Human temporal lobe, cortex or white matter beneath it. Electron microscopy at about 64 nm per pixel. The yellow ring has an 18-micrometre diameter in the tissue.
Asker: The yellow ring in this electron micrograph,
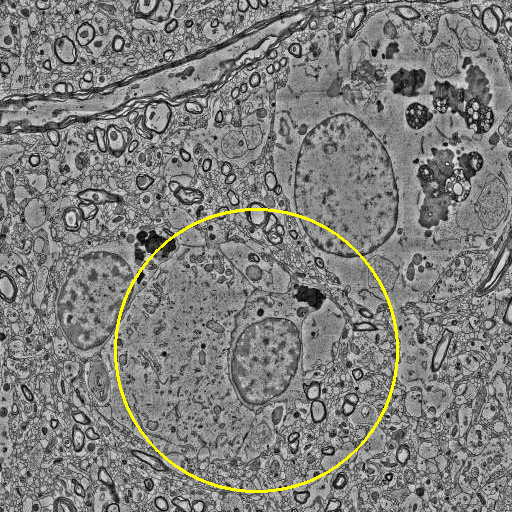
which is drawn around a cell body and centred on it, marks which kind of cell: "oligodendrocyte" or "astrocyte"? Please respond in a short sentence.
The marked cell is an oligodendrocyte.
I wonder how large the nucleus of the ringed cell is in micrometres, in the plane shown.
In this plane, approximately 6 by 4 micrometers.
